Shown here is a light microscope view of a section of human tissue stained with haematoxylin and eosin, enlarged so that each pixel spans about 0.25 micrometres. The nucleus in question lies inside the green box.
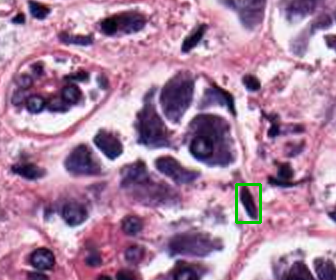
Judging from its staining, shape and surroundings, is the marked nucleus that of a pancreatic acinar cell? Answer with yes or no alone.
no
